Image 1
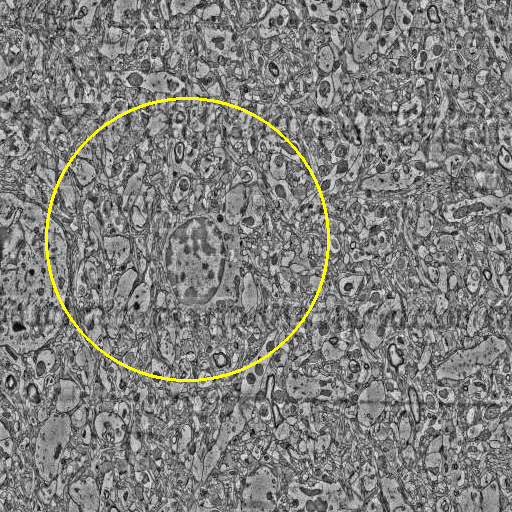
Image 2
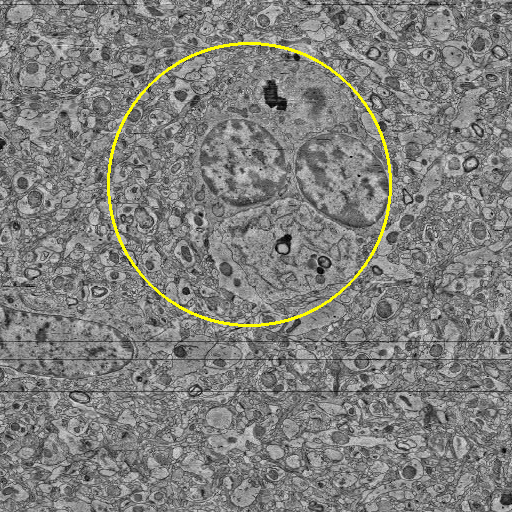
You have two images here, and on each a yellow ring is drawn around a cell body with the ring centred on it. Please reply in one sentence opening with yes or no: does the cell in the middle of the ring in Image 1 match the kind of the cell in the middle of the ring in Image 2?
Yes, the two images show cells of one kind at the centres of their rings.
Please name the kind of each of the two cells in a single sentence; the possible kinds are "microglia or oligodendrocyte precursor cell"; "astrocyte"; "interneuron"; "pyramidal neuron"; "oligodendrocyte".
Both cells are the same kind, each one being an oligodendrocyte.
